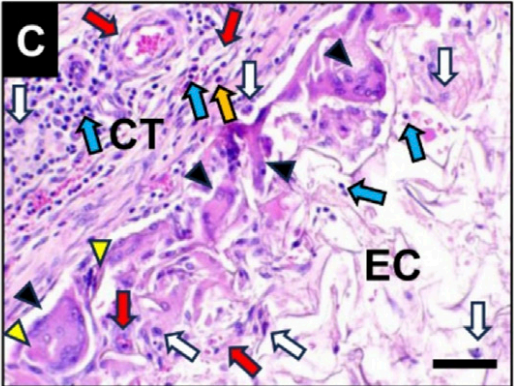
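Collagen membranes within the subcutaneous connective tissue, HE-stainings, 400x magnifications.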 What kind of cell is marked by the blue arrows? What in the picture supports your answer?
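Lymphocytes. Small cells with round, dark purple nuclei. Very little cytoplasm around the nuclei.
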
